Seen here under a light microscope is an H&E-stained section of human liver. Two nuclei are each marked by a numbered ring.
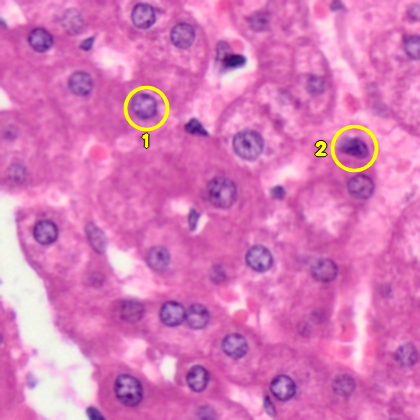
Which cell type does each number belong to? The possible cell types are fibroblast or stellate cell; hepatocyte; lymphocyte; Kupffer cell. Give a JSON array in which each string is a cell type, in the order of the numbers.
["hepatocyte", "fibroblast or stellate cell"]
